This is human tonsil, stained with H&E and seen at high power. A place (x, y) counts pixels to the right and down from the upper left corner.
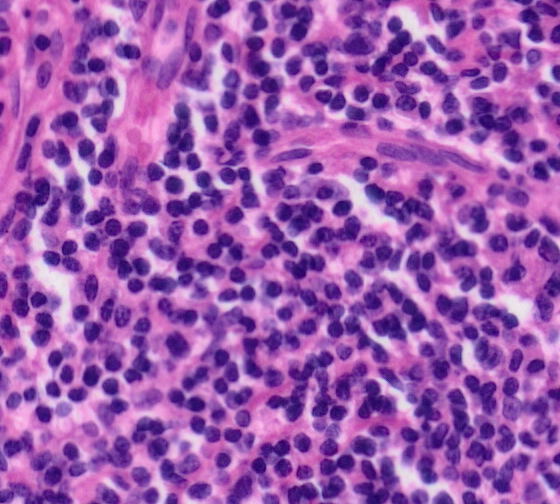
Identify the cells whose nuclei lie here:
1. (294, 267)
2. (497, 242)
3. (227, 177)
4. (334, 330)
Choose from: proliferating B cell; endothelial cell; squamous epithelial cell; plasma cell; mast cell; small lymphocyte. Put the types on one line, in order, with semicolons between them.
small lymphocyte; plasma cell; small lymphocyte; small lymphocyte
